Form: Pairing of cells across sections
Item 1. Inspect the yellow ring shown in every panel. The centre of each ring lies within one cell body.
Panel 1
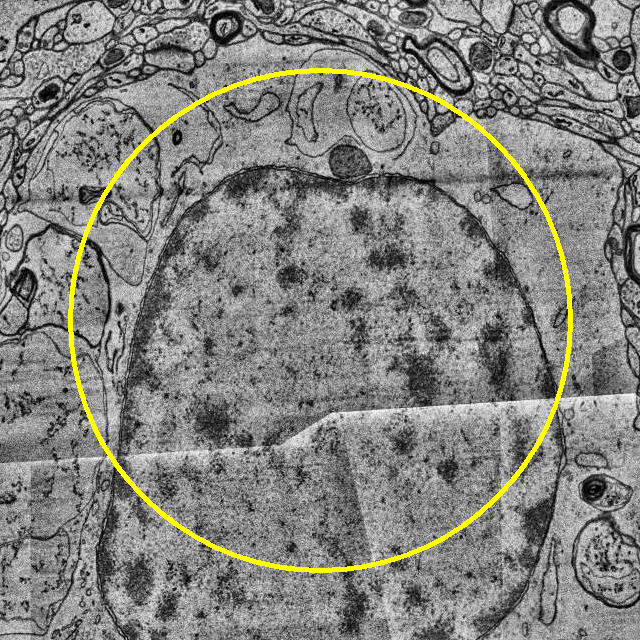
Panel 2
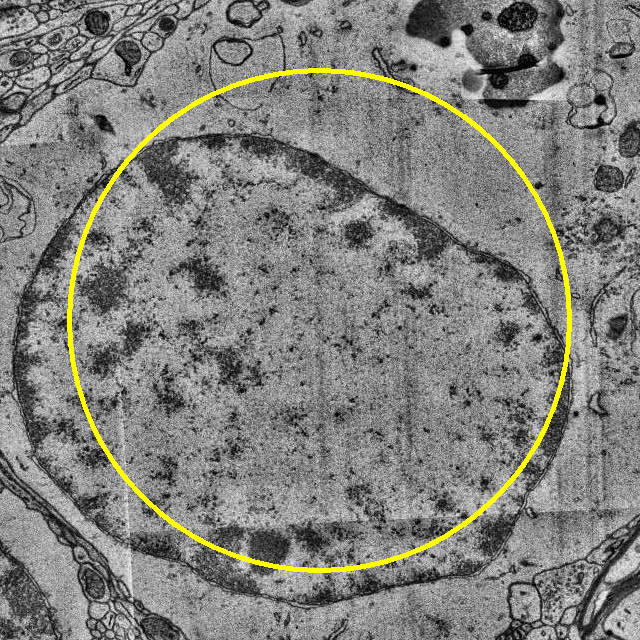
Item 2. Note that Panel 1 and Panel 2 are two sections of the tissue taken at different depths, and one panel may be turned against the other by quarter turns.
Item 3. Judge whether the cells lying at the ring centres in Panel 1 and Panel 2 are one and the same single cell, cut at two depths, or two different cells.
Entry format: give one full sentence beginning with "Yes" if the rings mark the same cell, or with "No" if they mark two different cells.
No, the two rings were placed on two different cells.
